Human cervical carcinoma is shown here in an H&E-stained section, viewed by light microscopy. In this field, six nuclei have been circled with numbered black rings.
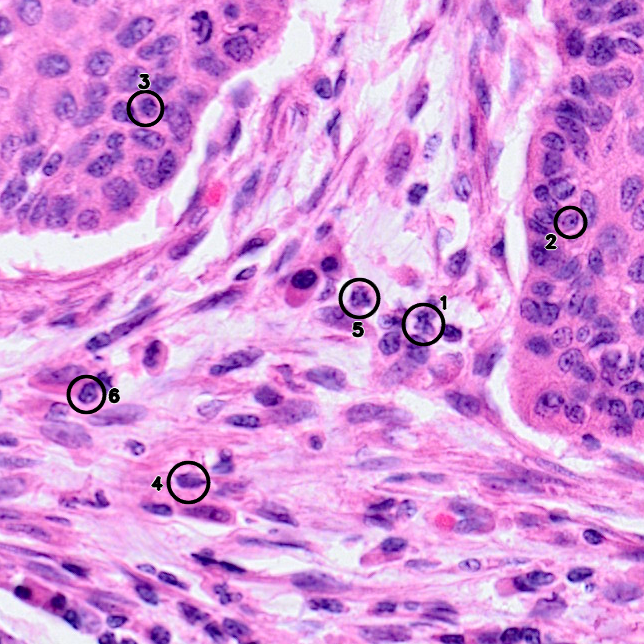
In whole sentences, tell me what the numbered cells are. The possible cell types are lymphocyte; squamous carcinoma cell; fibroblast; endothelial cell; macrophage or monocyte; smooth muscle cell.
Cell 1 is a lymphocyte, cell 2 is a squamous carcinoma cell, cell 3 is a squamous carcinoma cell, cell 4 is a lymphocyte, cell 5 is a lymphocyte and cell 6 is a lymphocyte.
